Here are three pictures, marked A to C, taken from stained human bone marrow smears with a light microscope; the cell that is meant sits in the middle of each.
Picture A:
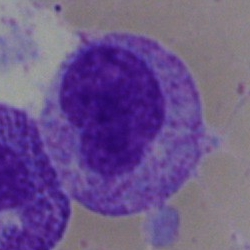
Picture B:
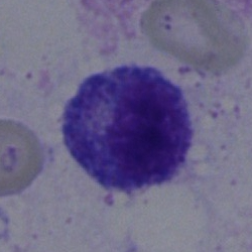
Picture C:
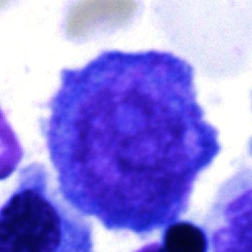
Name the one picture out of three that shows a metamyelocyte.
A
